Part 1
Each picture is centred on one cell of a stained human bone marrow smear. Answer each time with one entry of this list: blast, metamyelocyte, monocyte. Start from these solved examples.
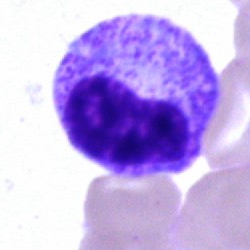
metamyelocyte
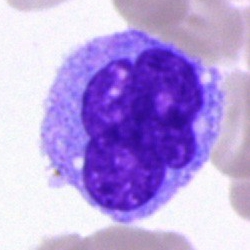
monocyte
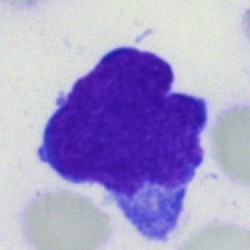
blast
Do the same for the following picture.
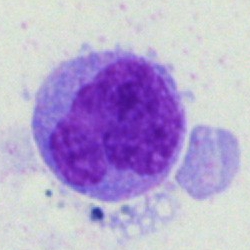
monocyte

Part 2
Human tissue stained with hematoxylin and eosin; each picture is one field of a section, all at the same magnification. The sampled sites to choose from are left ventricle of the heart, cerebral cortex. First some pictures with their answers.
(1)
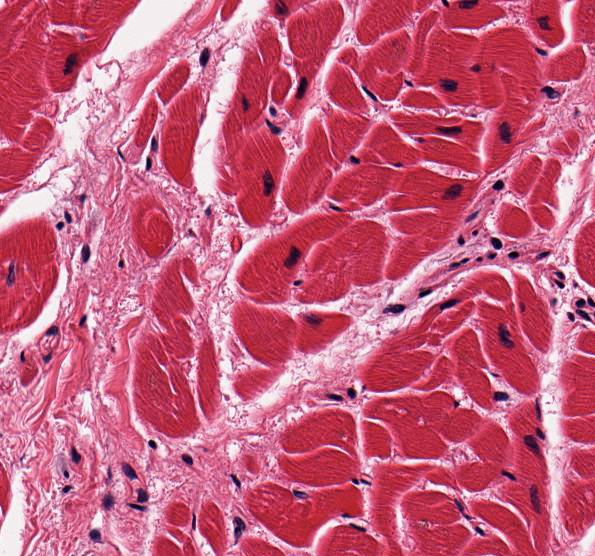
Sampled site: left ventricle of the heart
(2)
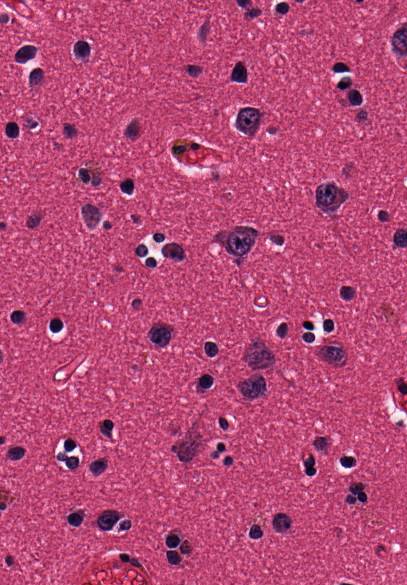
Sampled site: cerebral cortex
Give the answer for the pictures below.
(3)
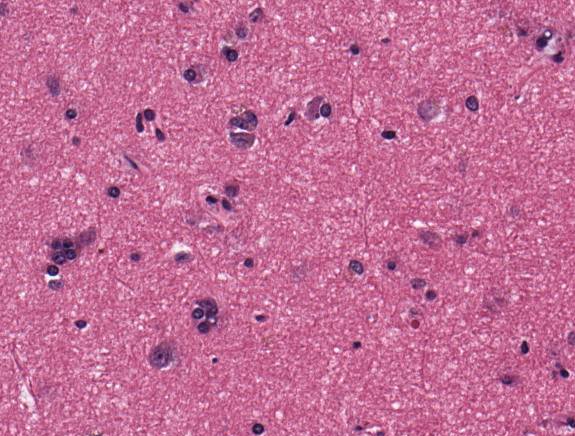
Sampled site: cerebral cortex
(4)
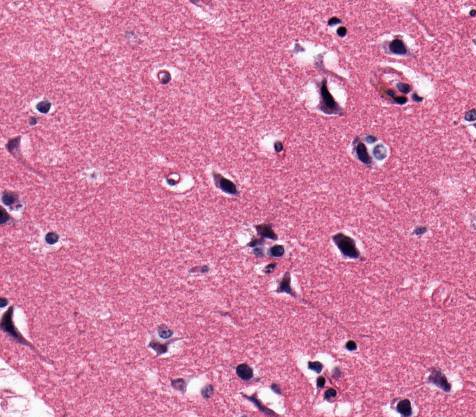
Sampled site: cerebral cortex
